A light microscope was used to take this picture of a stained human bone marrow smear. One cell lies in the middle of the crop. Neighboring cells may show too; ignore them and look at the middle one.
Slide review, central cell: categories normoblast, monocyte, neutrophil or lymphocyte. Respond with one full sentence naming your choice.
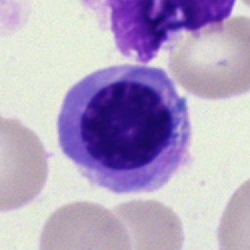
In the crop, the cell of interest at the centre is a normoblast.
